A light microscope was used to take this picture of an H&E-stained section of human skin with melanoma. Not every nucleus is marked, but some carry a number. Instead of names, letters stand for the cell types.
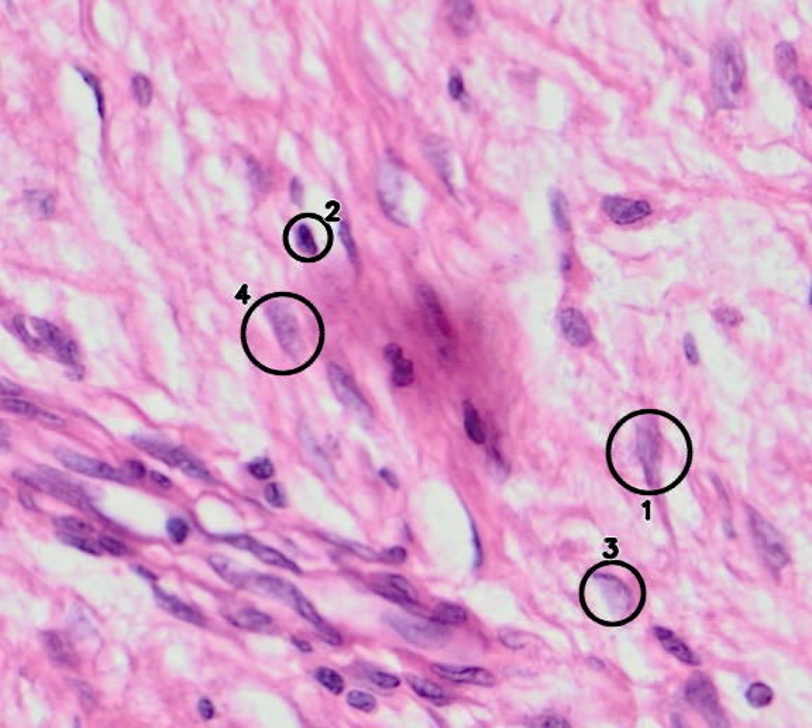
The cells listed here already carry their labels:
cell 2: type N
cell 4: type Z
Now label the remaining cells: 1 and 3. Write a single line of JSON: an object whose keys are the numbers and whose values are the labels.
{"1": "type Z", "3": "type Z"}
